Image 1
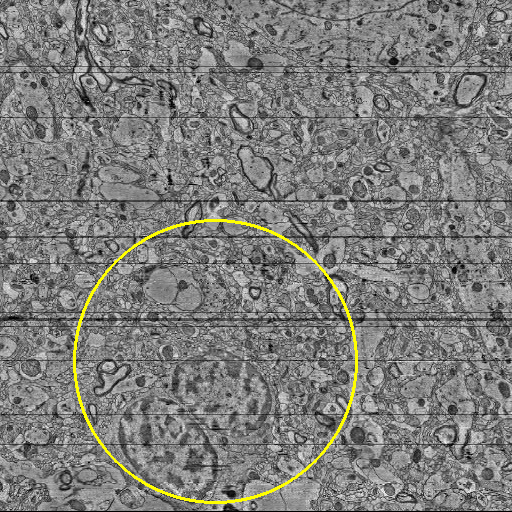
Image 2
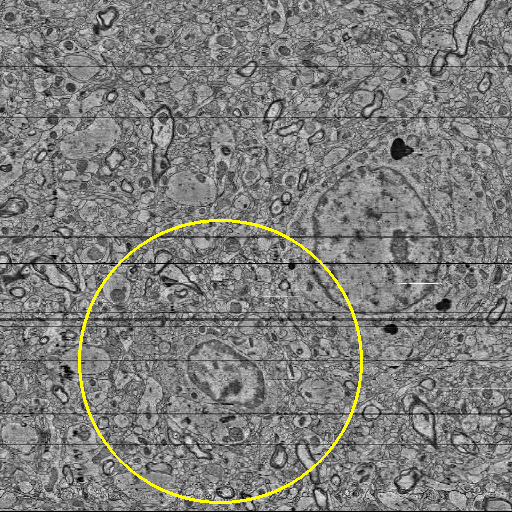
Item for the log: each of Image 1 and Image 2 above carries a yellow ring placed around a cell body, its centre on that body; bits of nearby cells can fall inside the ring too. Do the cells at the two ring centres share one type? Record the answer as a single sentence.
Yes, the two cells at the ring centres in Image 1 and Image 2 share one type.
